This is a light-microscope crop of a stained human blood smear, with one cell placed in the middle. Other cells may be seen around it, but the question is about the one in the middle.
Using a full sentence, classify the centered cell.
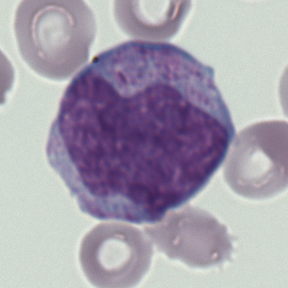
The central cell shown in this smear crop is an atypical promyelocyte.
